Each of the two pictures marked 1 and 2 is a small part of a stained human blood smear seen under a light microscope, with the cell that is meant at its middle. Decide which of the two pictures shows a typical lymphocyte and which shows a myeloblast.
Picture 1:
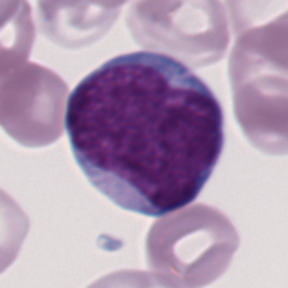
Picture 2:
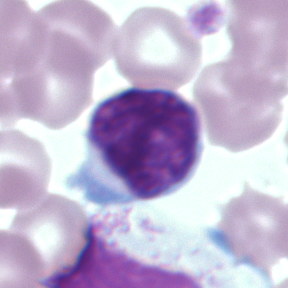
1: myeloblast
2: typical lymphocyte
